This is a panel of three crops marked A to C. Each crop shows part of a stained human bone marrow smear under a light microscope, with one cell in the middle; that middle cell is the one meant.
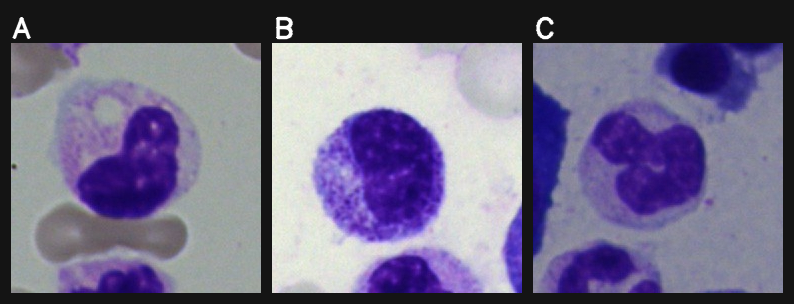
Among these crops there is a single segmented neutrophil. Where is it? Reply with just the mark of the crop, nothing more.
C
